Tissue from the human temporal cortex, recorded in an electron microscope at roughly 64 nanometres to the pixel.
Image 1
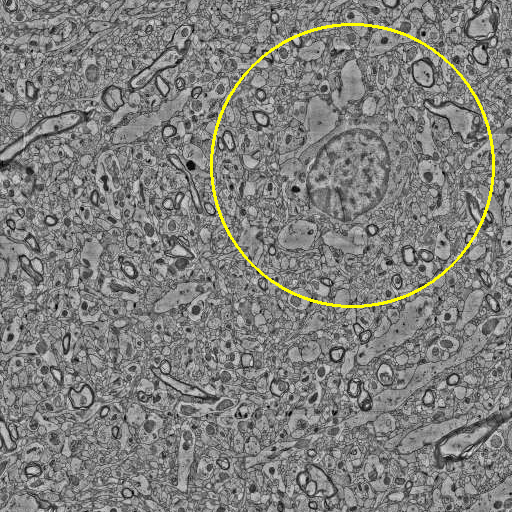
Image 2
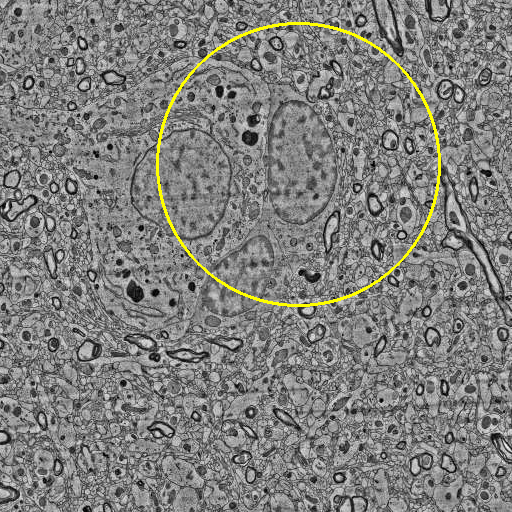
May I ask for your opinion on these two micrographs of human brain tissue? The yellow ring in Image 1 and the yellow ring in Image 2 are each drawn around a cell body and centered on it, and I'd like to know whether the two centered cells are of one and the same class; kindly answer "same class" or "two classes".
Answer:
same class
